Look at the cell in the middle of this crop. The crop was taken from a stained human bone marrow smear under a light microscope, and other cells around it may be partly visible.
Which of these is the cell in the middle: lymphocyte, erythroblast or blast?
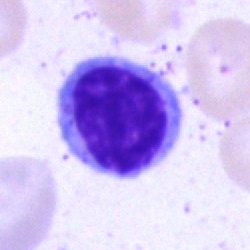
lymphocyte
